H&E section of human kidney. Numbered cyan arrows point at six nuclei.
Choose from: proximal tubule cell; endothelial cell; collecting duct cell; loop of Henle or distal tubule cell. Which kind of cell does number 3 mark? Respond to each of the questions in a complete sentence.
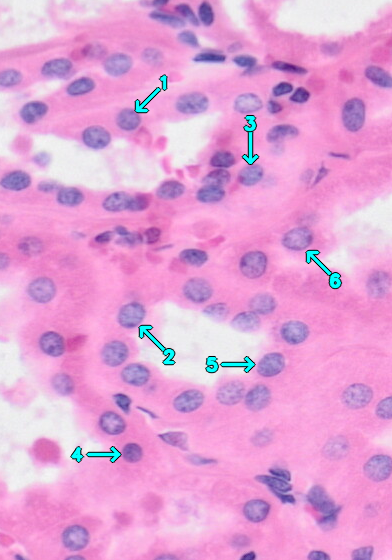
The cell given label 3 is a loop of Henle or distal tubule cell.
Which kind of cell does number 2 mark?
In this section, number 2 marks a loop of Henle or distal tubule cell.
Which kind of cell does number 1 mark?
In this section, the cell numbered 1 is a loop of Henle or distal tubule cell.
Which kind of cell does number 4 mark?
The cell to which the number 4 is assigned is a proximal tubule cell.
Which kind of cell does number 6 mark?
The identity of cell 6 is that of a proximal tubule cell.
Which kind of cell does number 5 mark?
The cell whose nucleus carries the number 5 is a loop of Henle or distal tubule cell.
